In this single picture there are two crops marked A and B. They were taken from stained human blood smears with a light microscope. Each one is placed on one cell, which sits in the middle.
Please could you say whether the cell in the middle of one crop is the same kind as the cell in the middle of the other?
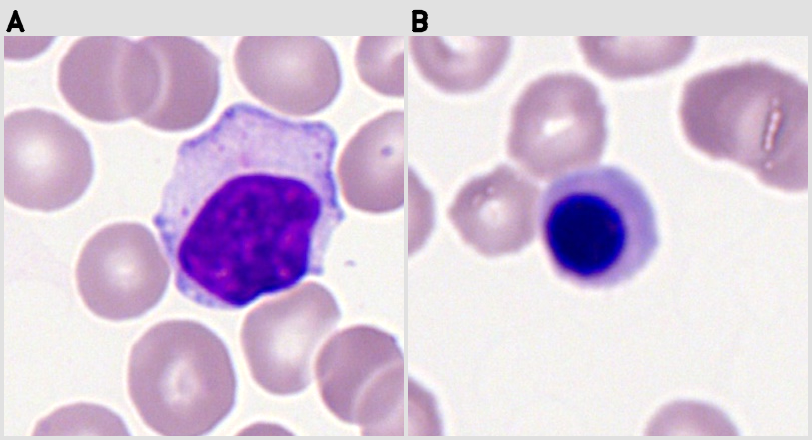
no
